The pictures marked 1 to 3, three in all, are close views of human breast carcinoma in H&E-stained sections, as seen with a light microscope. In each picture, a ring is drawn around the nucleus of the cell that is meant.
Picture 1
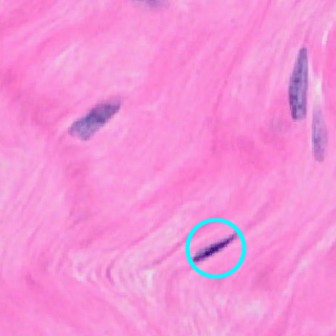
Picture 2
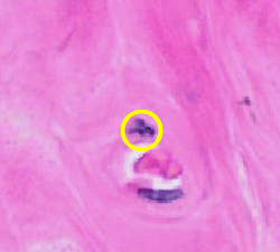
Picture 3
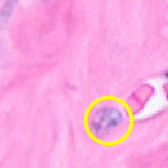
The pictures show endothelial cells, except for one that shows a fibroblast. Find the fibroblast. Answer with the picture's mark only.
1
